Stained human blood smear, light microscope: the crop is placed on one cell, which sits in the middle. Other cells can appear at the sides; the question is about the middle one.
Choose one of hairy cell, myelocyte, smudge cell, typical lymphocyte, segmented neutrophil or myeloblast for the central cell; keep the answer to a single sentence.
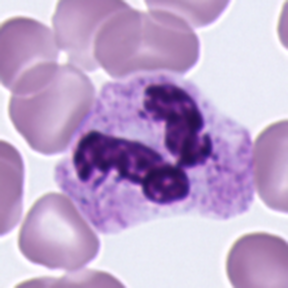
As for the central cell, it is a segmented neutrophil.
